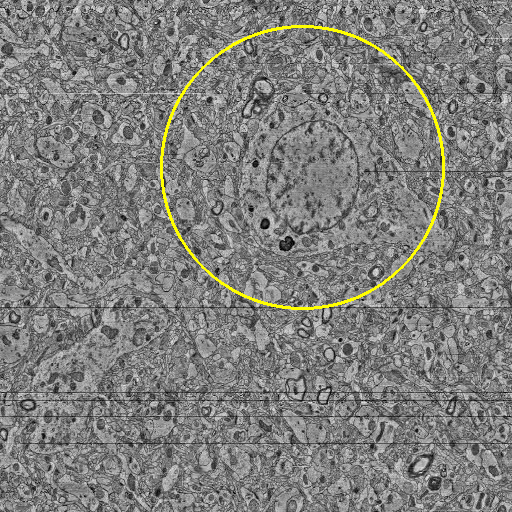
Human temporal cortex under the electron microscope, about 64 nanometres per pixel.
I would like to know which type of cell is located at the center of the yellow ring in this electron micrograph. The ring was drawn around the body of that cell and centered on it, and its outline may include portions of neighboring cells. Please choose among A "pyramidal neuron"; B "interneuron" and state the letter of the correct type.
A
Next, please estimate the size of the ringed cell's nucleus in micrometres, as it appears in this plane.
In this plane the nucleus measures roughly 8 by 6 micrometers.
